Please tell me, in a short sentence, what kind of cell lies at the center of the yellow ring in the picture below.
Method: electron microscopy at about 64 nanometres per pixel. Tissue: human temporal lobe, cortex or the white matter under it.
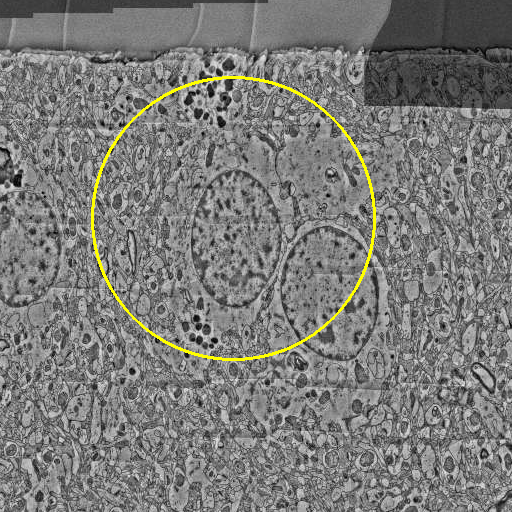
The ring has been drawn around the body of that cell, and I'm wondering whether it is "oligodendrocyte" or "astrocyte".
The cell at the center of the ring is an astrocyte.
